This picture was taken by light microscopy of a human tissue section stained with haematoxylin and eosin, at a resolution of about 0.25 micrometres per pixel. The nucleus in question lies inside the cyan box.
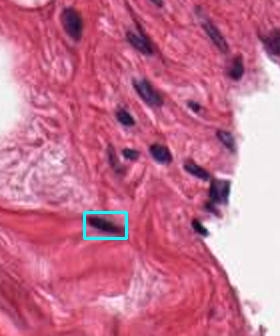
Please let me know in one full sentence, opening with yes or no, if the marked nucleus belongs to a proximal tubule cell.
No, the marked nucleus is not borne by a proximal tubule cell; it is borne by a supporting cell.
